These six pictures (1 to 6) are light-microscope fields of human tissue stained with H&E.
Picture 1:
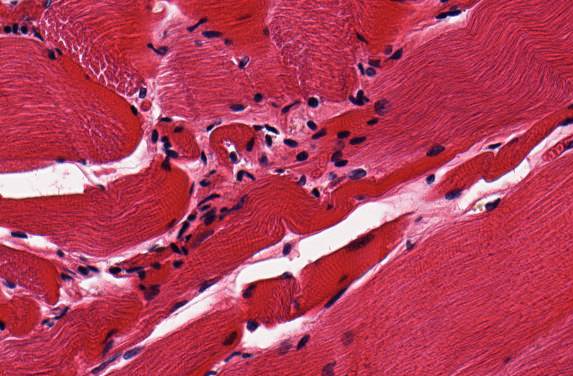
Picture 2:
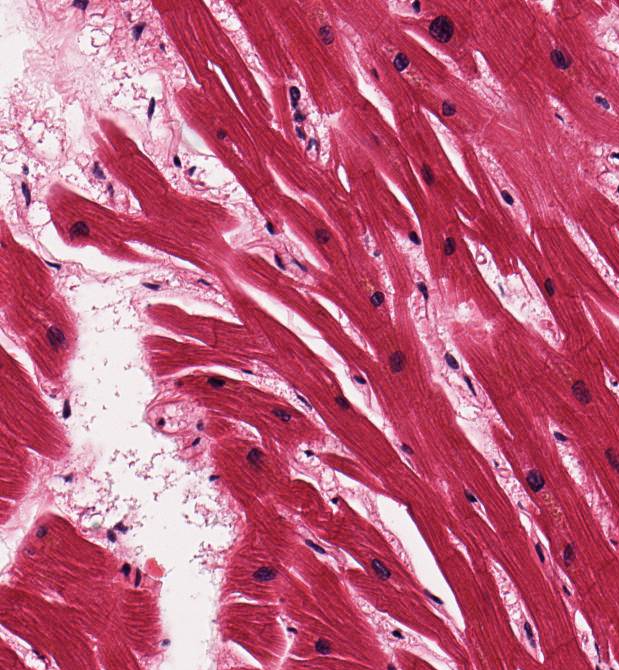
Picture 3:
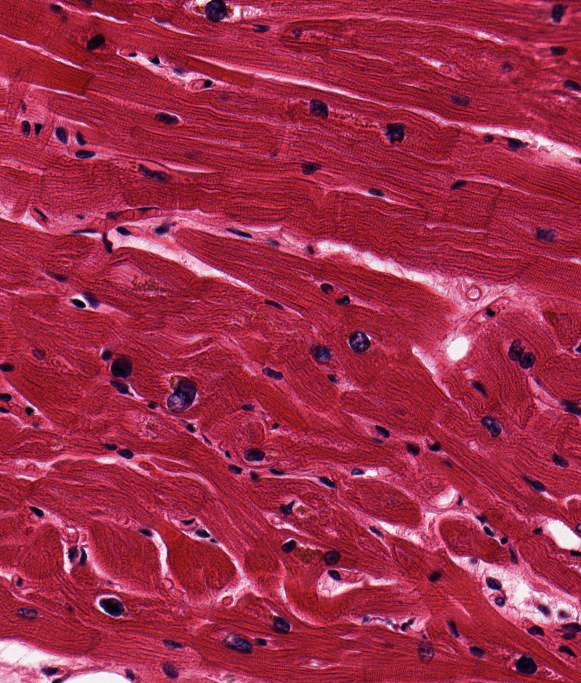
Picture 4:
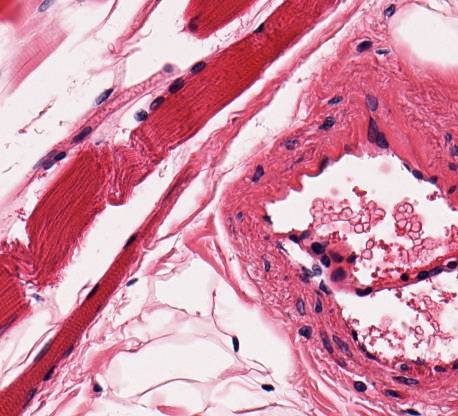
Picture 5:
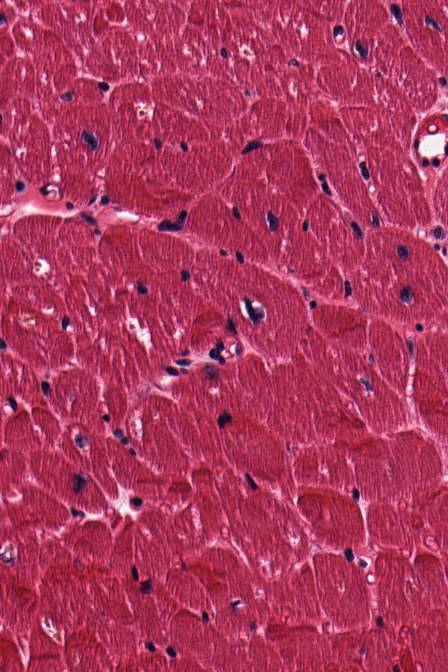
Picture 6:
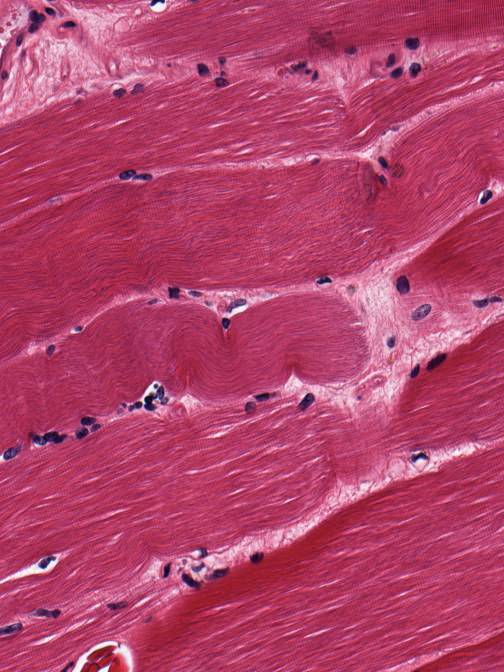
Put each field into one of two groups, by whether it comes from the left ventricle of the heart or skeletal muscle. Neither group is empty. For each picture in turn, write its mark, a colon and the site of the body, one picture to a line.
1: skeletal muscle
2: left ventricle of the heart
3: left ventricle of the heart
4: skeletal muscle
5: left ventricle of the heart
6: skeletal muscle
